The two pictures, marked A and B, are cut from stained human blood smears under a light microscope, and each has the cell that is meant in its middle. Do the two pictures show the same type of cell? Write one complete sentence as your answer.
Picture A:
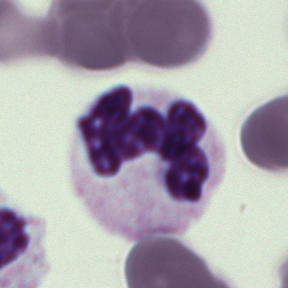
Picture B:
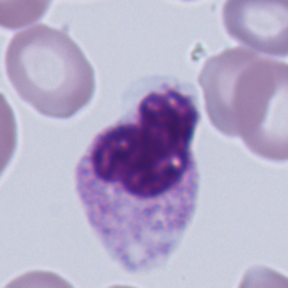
Yes, both are segmented neutrophils.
